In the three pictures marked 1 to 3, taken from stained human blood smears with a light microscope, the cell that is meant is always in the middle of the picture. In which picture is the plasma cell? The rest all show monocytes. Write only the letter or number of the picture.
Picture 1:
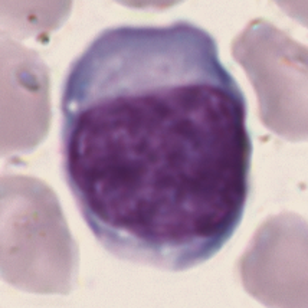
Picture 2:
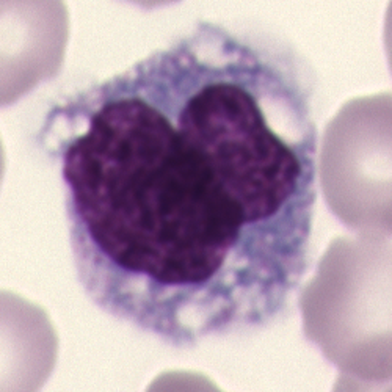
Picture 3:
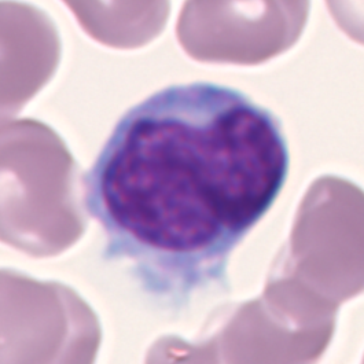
1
